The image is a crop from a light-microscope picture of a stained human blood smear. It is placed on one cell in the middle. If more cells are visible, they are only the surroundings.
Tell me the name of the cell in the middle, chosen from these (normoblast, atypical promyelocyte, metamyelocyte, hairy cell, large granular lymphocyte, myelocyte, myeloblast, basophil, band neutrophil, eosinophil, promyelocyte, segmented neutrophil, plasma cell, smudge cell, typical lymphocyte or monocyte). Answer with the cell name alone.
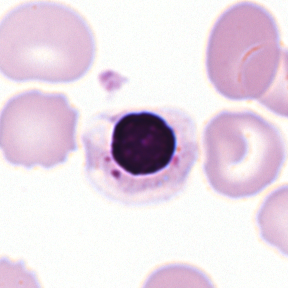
normoblast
